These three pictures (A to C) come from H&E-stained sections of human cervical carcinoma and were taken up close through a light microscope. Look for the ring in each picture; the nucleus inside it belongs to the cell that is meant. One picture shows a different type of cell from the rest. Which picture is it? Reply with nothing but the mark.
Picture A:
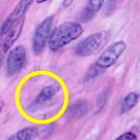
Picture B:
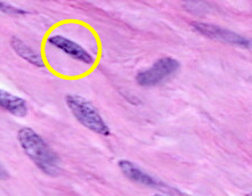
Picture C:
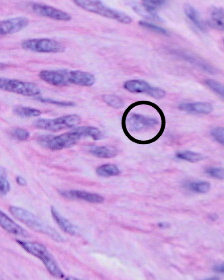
C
